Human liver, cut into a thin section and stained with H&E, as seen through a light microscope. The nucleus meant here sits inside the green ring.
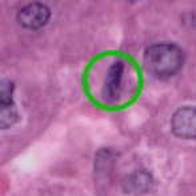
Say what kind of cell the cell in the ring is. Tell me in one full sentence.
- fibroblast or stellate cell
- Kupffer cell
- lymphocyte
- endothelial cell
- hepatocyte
Speaking plainly, the cell in the ring is nothing other than a fibroblast or stellate cell.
